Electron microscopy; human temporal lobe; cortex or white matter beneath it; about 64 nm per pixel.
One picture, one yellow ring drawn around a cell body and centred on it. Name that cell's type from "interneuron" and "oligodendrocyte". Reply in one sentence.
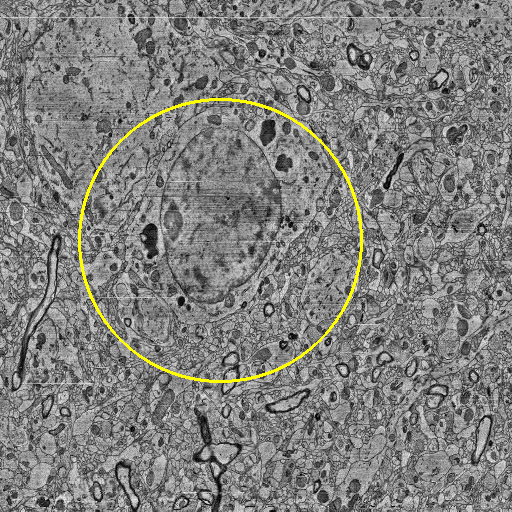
Centred in the ring is an interneuron.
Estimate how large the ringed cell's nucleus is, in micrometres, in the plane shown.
The nucleus measures about 12 by 8 micrometres, so it is clearly longer than it is wide in this plane.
